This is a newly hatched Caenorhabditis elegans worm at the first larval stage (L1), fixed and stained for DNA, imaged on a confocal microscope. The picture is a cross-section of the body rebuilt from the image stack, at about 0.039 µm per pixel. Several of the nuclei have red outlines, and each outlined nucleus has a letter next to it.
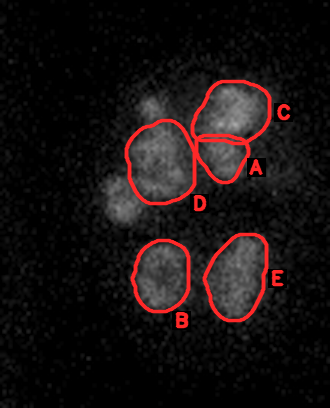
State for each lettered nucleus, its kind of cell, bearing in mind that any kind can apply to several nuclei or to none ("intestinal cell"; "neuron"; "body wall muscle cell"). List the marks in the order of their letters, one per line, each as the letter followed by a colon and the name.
A: intestinal cell
B: intestinal cell
C: body wall muscle cell
D: neuron
E: intestinal cell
